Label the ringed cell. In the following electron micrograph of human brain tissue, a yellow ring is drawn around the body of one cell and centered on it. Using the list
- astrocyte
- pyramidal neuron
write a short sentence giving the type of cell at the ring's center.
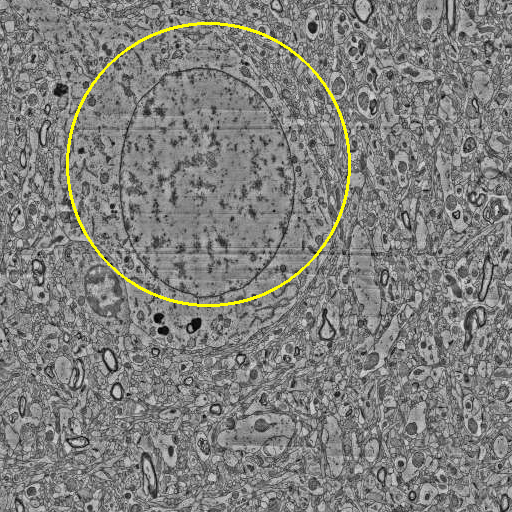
The cell body at the ring's center is that of a pyramidal neuron.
